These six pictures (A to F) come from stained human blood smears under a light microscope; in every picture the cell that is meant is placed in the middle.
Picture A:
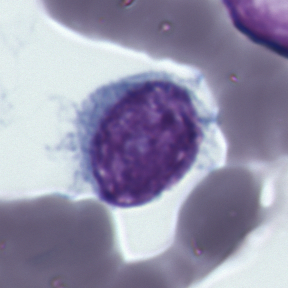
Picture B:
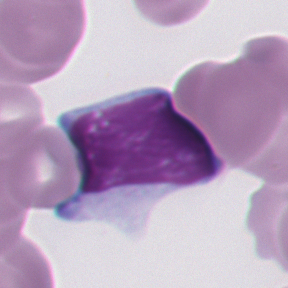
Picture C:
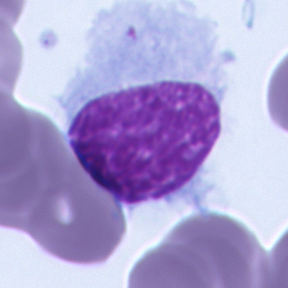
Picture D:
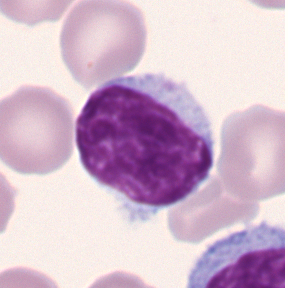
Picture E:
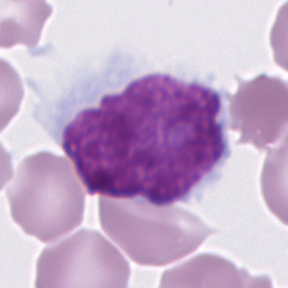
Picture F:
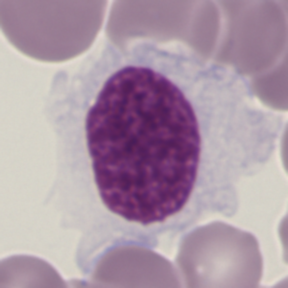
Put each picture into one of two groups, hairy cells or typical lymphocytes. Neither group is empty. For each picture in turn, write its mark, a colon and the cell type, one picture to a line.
A: hairy cell
B: typical lymphocyte
C: hairy cell
D: typical lymphocyte
E: hairy cell
F: hairy cell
